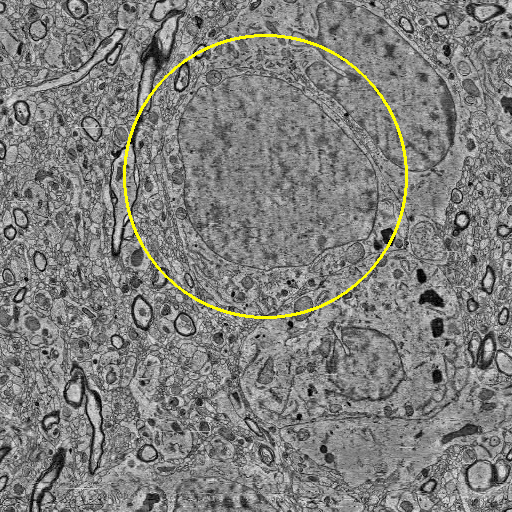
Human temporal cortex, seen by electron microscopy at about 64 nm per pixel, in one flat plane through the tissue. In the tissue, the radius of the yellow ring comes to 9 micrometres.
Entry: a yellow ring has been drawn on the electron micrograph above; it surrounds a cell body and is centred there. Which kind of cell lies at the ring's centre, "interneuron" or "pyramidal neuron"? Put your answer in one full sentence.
The cell sitting at the ring's centre is a pyramidal neuron in the micrograph above.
